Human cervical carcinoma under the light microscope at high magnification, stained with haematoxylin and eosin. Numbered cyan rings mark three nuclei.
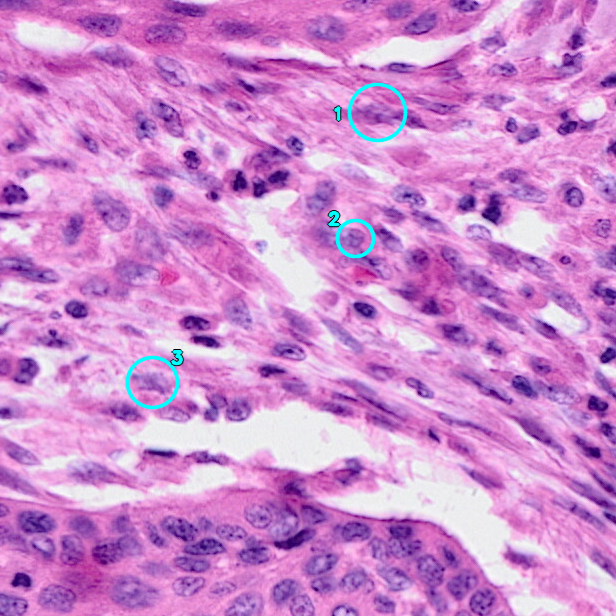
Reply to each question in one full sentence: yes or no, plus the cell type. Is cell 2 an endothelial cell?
Yes, the cell given number 2 is an endothelial cell.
